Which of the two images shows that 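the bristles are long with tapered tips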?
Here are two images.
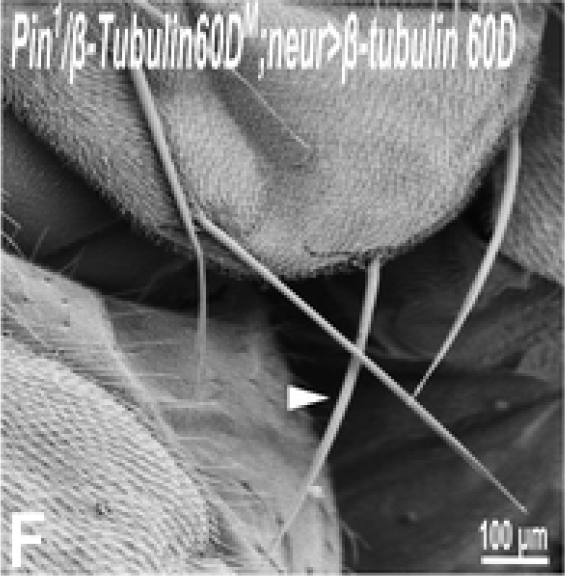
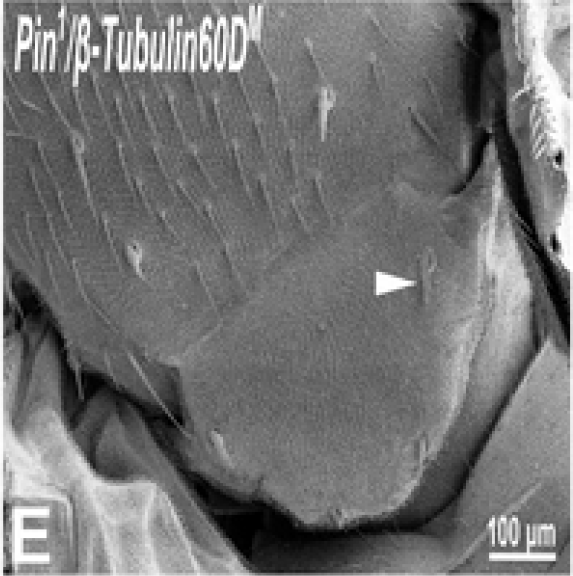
The first image.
